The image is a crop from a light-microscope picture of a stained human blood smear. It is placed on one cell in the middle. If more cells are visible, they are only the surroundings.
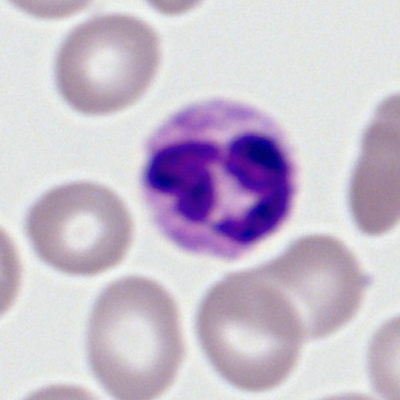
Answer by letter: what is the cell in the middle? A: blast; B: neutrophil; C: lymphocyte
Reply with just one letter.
B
